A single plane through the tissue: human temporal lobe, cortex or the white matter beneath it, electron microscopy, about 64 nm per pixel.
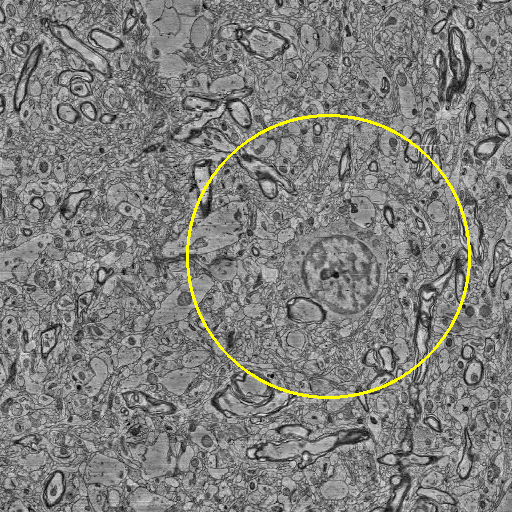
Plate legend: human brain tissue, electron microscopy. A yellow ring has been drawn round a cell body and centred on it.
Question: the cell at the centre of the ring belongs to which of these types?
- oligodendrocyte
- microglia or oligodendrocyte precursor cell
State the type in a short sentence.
The cell in the middle of the ring is an oligodendrocyte.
